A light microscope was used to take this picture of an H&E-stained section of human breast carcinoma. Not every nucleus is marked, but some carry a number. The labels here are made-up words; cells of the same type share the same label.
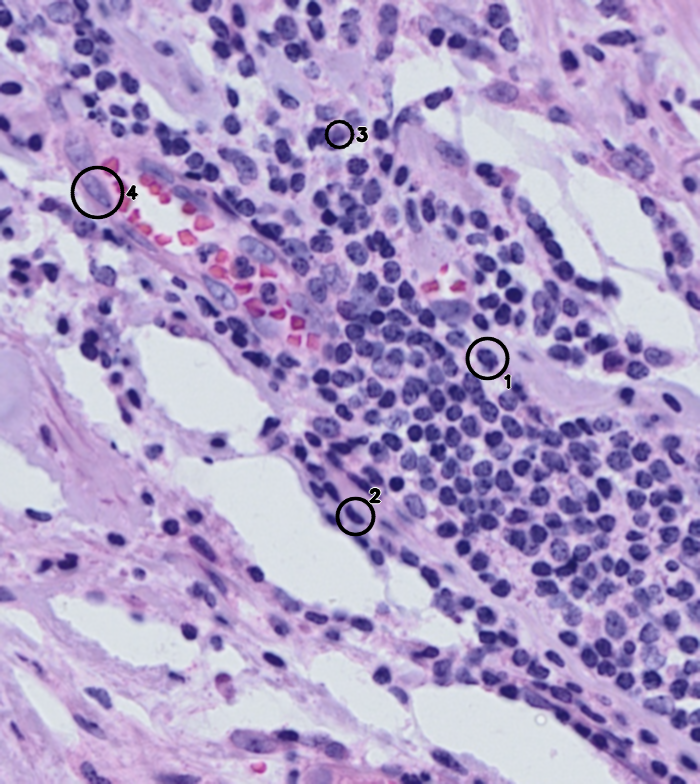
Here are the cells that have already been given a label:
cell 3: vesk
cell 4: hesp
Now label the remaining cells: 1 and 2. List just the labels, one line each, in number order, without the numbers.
vesk
vesk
